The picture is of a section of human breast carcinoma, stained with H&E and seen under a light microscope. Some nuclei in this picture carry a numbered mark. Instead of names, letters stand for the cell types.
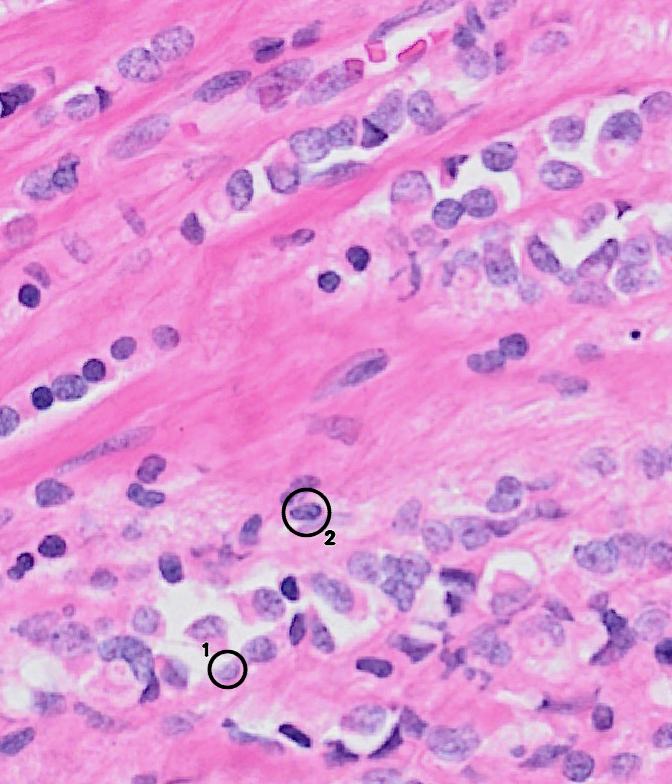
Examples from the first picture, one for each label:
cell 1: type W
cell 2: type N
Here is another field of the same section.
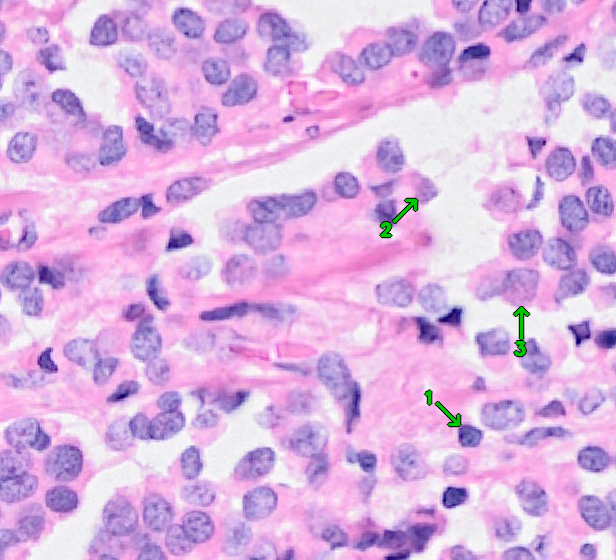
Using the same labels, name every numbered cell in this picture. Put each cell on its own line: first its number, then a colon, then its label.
1: type N
2: type W
3: type W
